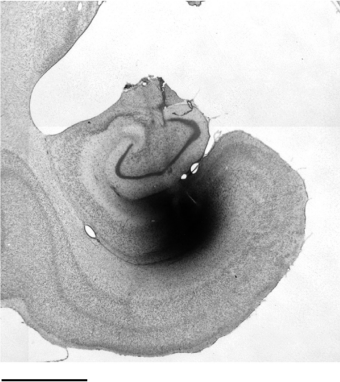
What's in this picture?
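This is a coronal section through the hippocampus at low magnification. At the top a densely packed, dark, C-shaped cell band curls around a second folded cell layer, the typical interlocking arrangement of the hippocampal cell layers and dentate gyrus. Paler fibre-rich layers separate these bands. Below and to the right, wide layered grey matter fills the rest of the section, with a lighter outer margin. A few clear round profiles are blood vessels.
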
